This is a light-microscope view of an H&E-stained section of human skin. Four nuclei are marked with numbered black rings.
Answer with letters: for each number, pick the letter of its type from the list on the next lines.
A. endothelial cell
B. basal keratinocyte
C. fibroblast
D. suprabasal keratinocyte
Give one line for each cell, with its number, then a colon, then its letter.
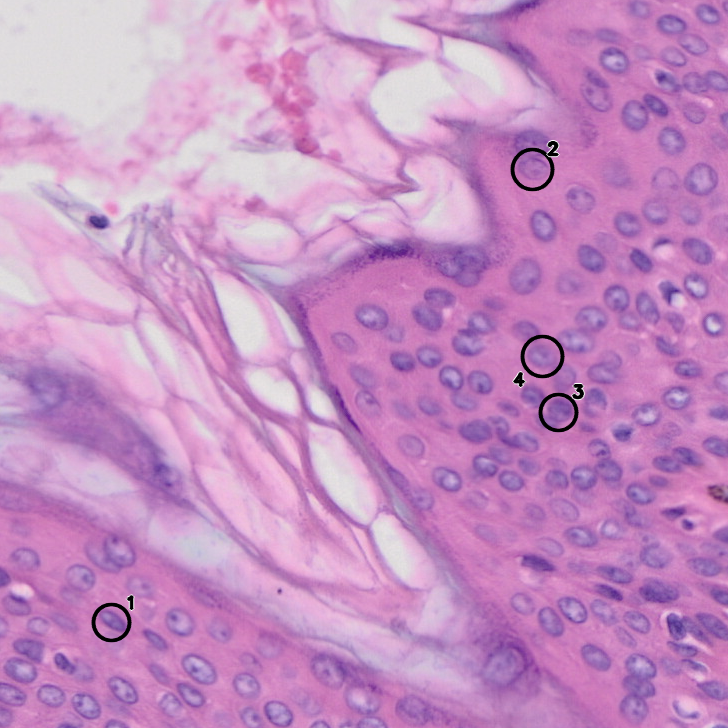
1: D
2: D
3: B
4: D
